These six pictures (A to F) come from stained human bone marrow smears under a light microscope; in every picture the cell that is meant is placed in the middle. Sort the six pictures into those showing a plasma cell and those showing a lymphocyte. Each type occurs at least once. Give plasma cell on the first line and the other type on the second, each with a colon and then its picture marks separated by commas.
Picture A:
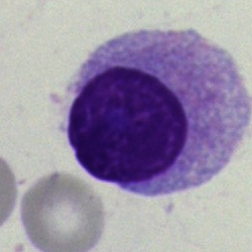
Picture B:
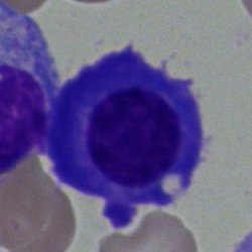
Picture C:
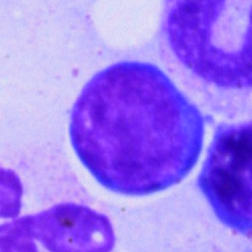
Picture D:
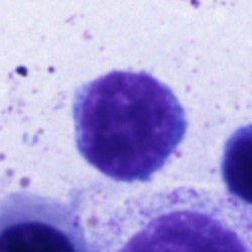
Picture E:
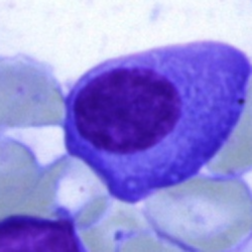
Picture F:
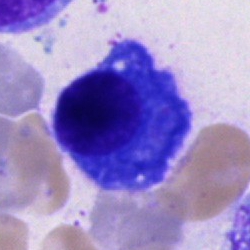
plasma cell: A, B, E, F
lymphocyte: C, D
